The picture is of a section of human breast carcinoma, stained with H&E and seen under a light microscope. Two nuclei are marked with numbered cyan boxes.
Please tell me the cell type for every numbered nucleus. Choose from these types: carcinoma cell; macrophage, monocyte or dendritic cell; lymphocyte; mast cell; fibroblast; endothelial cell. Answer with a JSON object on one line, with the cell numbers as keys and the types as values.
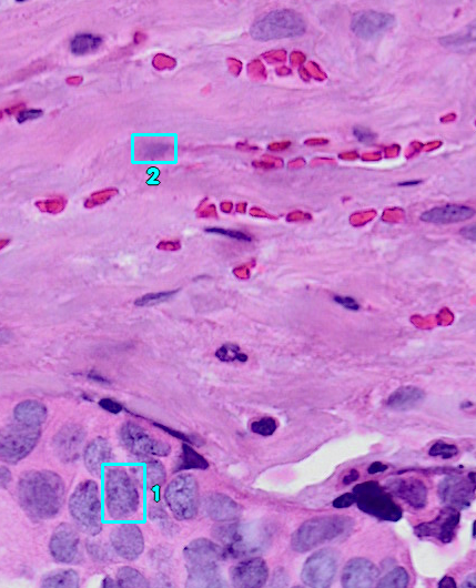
{"1": "carcinoma cell", "2": "fibroblast"}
